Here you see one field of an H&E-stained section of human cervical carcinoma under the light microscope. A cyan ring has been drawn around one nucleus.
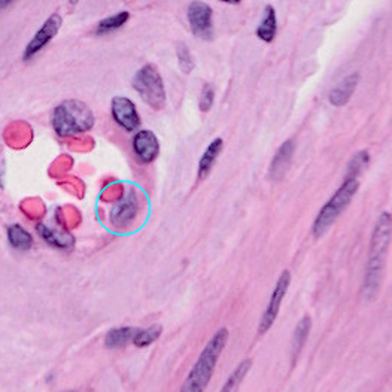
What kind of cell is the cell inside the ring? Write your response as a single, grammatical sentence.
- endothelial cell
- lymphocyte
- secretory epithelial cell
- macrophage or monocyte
Within the stained tissue, the cell inside the ring is an endothelial cell.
